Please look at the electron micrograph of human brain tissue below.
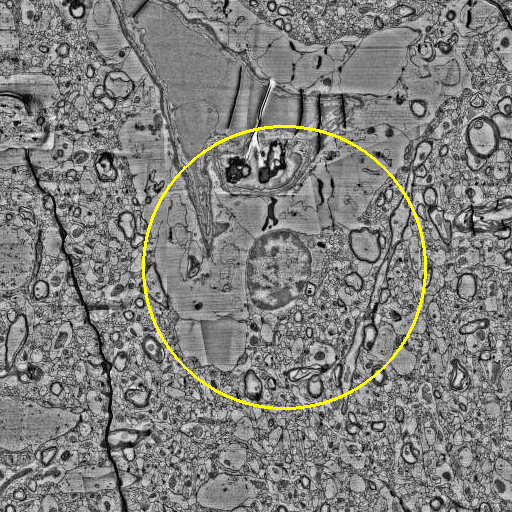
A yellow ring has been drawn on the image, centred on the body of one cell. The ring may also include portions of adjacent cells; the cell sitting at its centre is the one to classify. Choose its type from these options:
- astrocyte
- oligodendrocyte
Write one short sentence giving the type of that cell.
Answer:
The cell in the middle of the ring is an oligodendrocyte.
